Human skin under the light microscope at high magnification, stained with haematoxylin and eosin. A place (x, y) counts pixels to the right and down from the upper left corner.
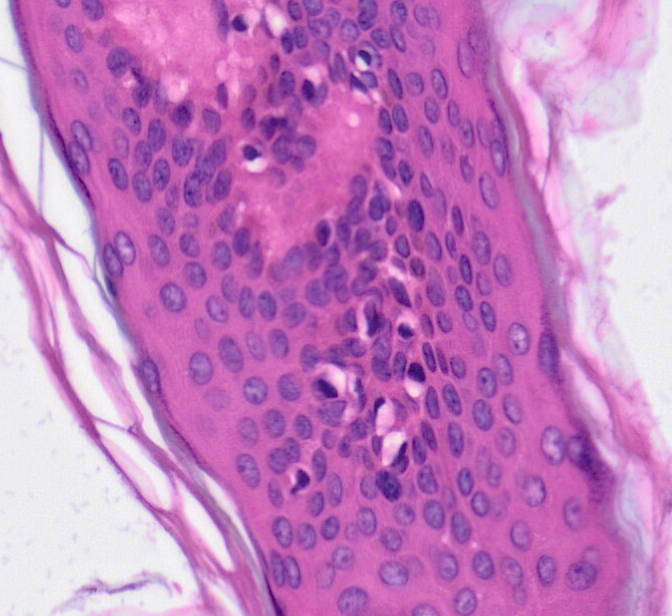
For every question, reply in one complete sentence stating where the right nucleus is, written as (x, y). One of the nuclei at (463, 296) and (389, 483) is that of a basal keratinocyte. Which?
Which one belongs to a basal keratinocyte? The nucleus at (389, 483) does.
